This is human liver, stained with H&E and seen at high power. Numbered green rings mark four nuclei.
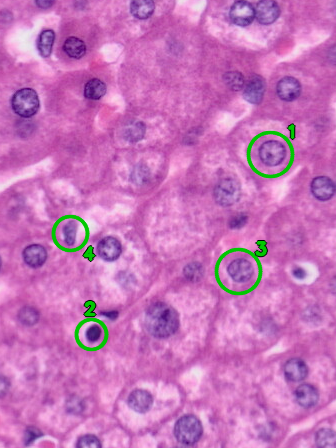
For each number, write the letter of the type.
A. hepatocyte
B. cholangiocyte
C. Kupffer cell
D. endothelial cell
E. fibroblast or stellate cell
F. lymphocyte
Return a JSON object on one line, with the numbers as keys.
{"1": "A", "2": "F", "3": "A", "4": "D"}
